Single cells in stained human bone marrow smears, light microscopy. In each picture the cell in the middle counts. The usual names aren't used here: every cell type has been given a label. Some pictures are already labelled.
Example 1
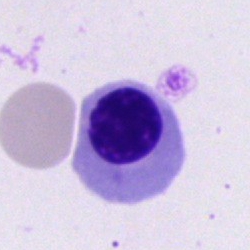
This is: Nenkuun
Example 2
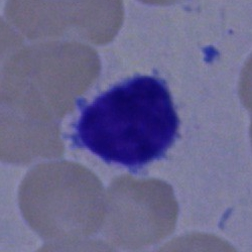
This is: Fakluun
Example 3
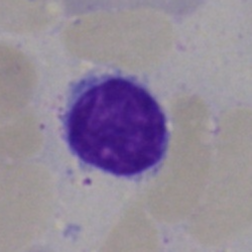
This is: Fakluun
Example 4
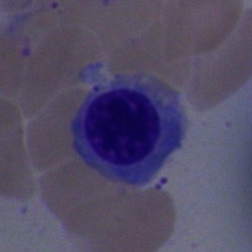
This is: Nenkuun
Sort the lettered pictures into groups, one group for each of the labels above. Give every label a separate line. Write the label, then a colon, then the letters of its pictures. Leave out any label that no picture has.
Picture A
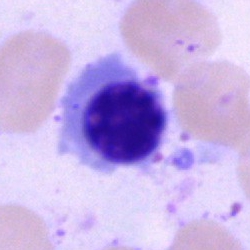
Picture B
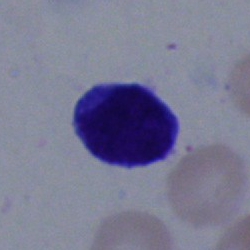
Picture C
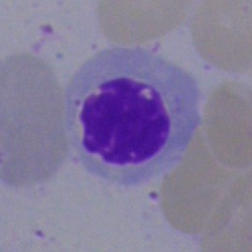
Nenkuun: A, C
Fakluun: B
